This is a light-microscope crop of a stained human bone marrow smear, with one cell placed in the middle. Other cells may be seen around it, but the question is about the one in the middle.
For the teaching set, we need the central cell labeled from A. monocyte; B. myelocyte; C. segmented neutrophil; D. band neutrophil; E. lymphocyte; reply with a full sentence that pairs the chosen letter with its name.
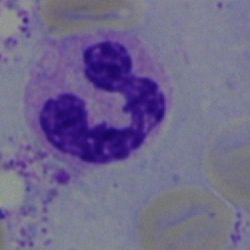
The central cell of the crop is a segmented neutrophil, which makes C the correct option.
